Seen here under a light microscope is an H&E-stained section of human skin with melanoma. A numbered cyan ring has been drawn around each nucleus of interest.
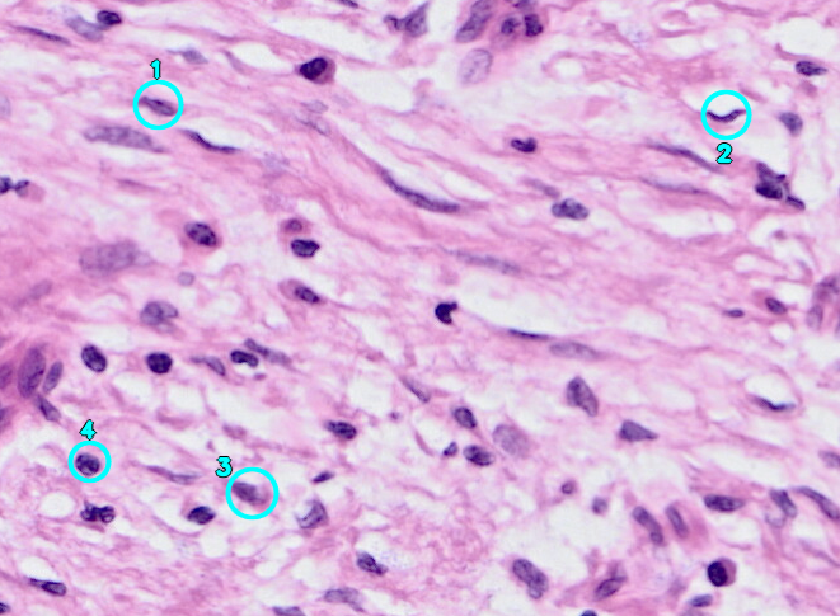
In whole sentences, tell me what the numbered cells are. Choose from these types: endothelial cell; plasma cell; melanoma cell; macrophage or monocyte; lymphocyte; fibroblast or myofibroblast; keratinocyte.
Cell 1 is a fibroblast or myofibroblast, cell 2 is a fibroblast or myofibroblast, cell 3 is a fibroblast or myofibroblast and cell 4 is a lymphocyte.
